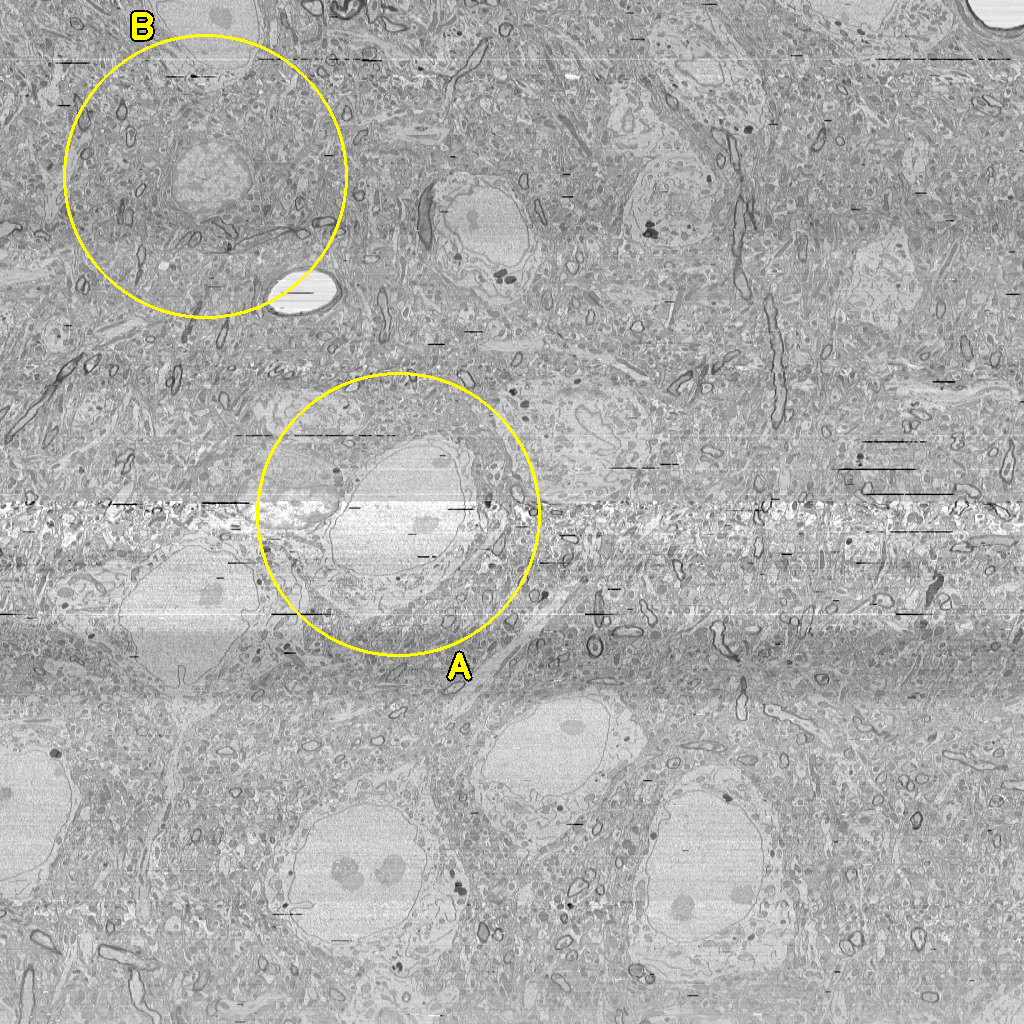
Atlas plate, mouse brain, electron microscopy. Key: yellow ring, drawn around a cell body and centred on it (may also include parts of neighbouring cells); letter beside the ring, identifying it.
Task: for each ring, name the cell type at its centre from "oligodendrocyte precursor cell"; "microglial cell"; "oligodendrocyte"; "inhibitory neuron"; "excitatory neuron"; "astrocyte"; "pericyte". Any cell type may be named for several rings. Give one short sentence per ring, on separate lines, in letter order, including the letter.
Ring A is centred over an excitatory neuron.
Ring B is centred over an oligodendrocyte.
